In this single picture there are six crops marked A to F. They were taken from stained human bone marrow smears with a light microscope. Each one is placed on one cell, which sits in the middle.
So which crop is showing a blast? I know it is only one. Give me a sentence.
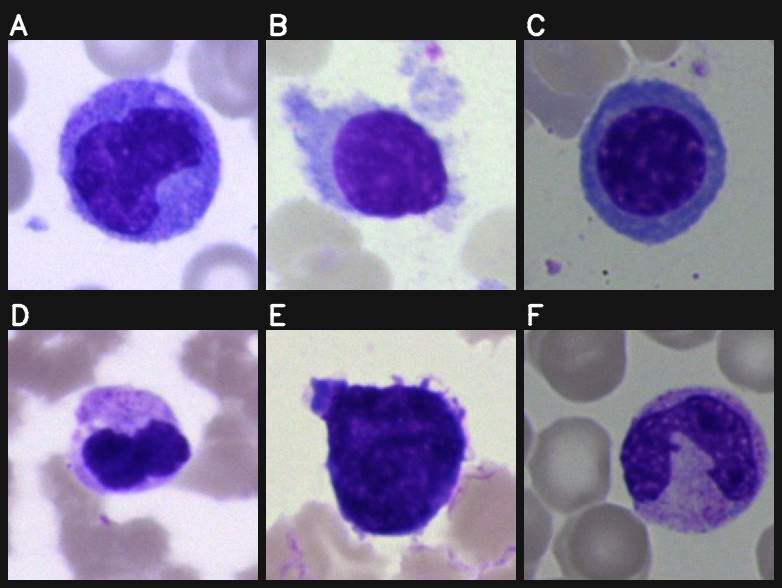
Crop E is the one depicting a blast.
